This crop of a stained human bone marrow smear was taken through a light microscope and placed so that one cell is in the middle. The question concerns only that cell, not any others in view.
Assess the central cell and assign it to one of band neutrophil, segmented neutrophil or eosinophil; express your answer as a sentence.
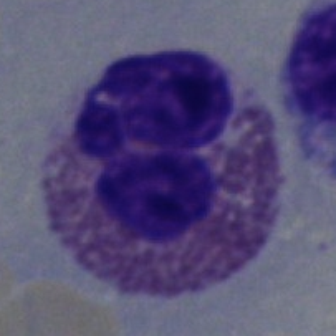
Where the crop is centred, there is an eosinophil.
